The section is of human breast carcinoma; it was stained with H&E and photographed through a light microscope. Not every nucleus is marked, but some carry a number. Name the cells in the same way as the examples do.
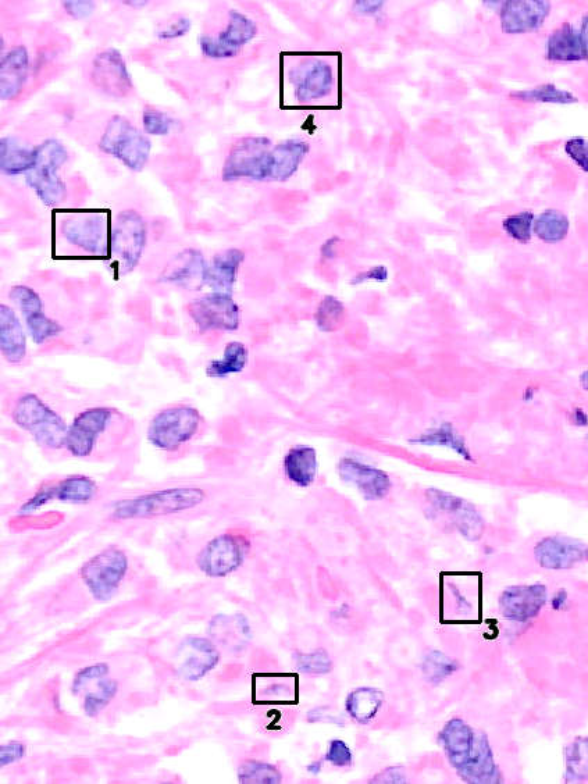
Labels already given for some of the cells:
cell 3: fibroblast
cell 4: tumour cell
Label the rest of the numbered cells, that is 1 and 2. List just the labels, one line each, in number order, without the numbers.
tumour cell
fibroblast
